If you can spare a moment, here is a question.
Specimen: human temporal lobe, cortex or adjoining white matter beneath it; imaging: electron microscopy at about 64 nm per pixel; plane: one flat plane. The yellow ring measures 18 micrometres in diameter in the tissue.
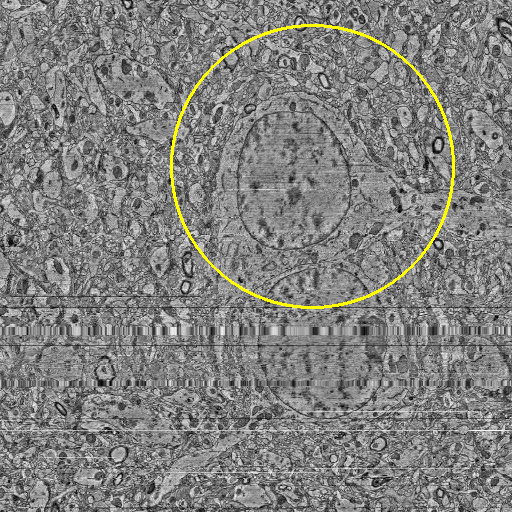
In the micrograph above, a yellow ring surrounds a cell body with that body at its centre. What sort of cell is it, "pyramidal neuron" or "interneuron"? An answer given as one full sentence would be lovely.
Centred inside the yellow ring, the cell body shown belongs to a pyramidal neuron in this micrograph.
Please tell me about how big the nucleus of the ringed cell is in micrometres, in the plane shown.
In this plane the nucleus measures roughly 10 by 8 micrometers.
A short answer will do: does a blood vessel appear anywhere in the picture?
No.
